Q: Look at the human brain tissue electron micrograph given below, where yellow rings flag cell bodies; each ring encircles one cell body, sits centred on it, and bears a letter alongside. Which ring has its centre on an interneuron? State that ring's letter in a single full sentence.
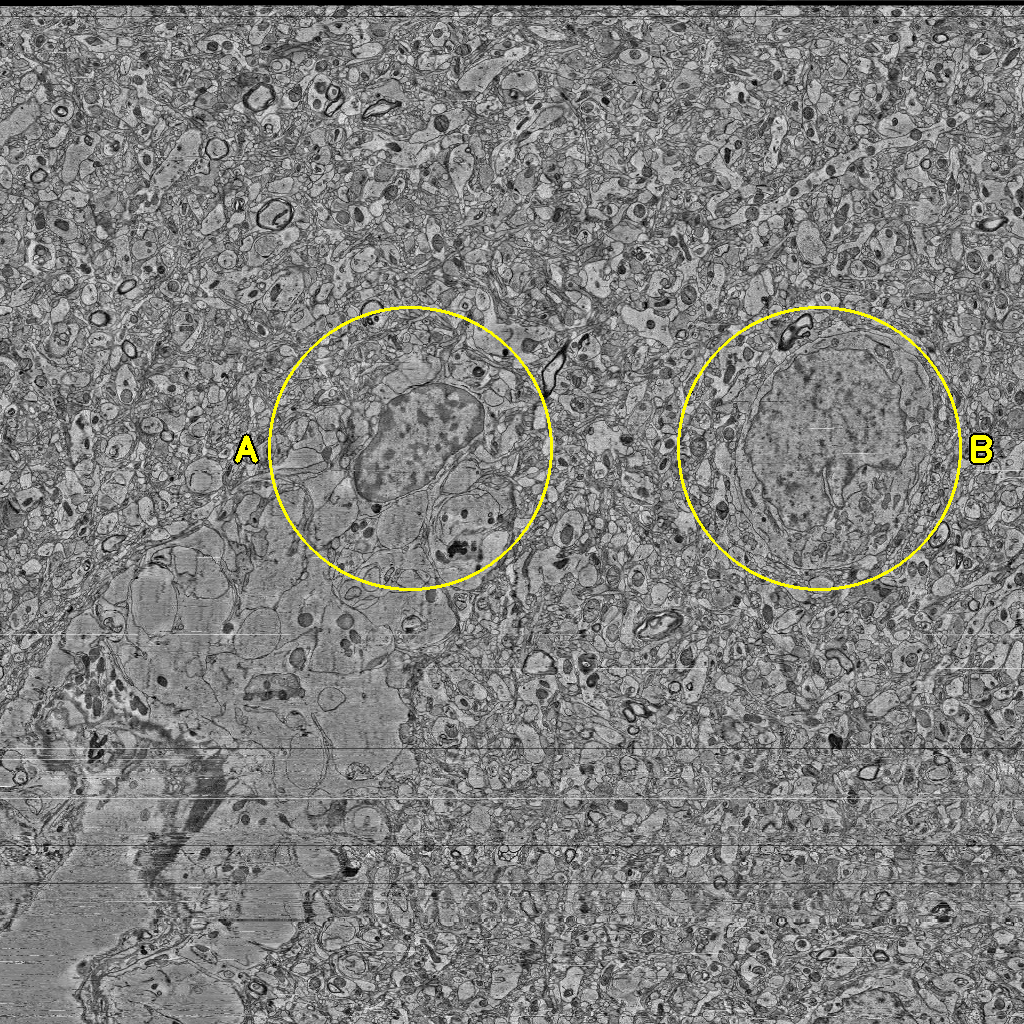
In the picture, the cell of that kind sits at the centre of ring B.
